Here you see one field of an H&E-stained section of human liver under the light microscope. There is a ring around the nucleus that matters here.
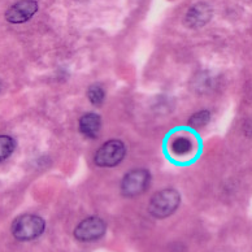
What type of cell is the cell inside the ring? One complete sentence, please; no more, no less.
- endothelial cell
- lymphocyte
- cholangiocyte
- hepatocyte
Within this tissue, the cell inside the ring is a lymphocyte.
